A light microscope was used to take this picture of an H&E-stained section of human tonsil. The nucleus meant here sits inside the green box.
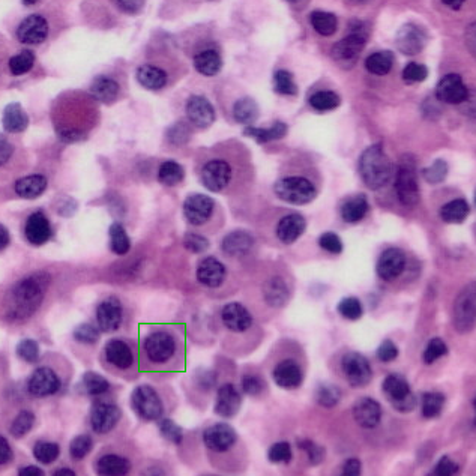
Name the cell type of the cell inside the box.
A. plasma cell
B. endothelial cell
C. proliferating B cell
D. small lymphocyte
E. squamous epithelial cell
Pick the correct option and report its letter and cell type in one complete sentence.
Here the right answer is A, with the cell inside the box being a plasma cell.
